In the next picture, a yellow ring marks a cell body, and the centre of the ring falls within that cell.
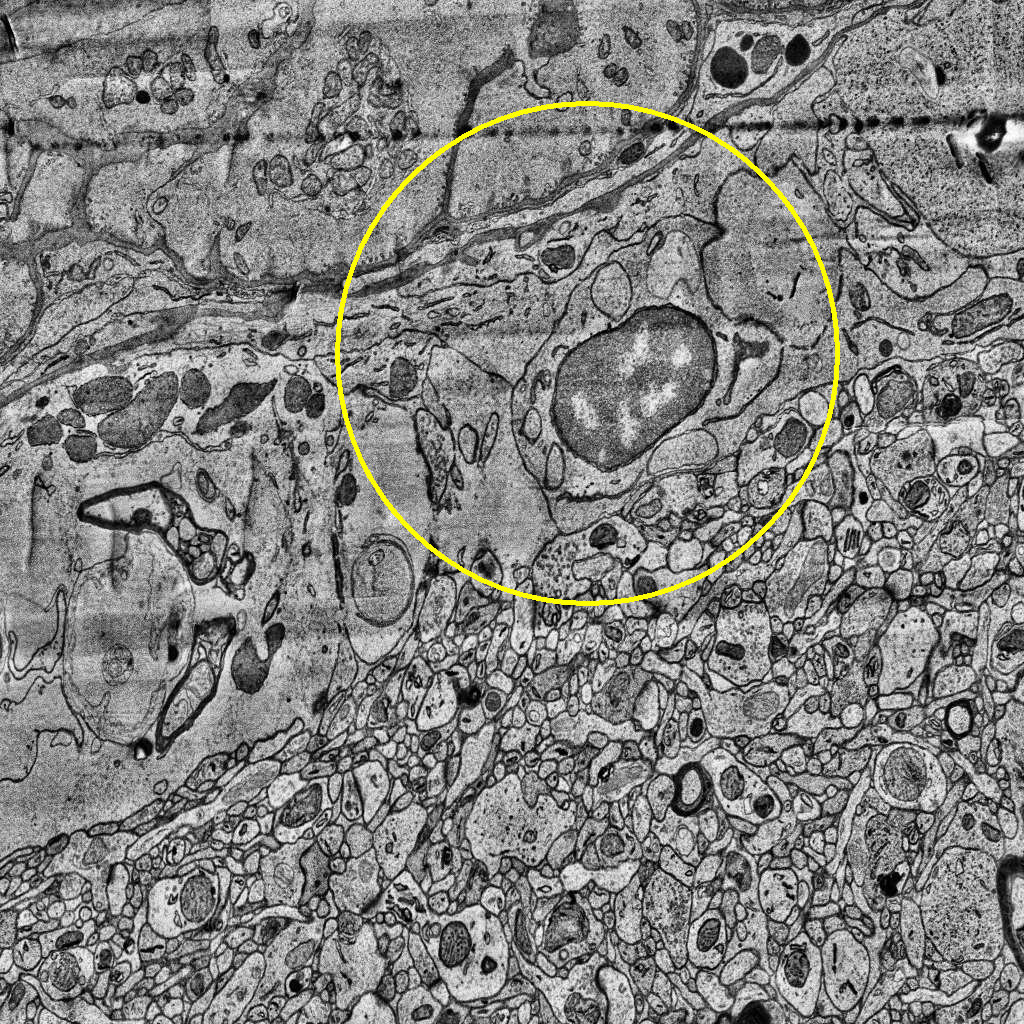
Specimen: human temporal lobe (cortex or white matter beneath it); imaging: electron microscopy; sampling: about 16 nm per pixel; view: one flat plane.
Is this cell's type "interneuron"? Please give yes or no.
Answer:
no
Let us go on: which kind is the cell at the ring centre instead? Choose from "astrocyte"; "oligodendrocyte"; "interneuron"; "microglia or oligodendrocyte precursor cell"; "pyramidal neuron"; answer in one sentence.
The ring holds a microglial cell or oligodendrocyte precursor cell at its centre.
